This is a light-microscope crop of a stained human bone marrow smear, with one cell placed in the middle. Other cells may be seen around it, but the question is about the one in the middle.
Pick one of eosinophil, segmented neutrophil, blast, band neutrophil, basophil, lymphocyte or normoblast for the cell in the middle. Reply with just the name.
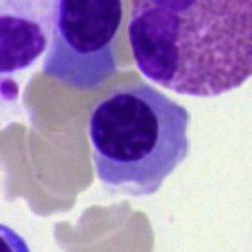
normoblast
